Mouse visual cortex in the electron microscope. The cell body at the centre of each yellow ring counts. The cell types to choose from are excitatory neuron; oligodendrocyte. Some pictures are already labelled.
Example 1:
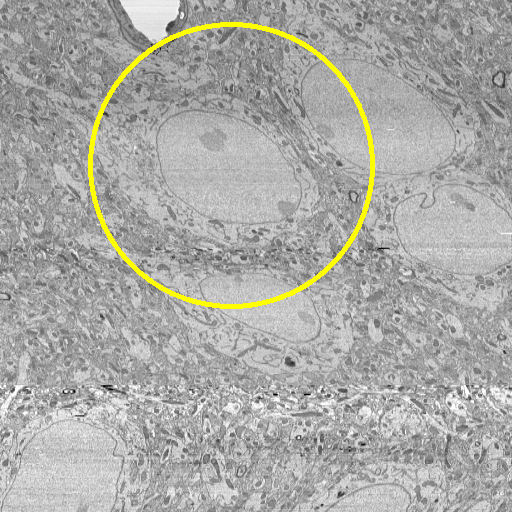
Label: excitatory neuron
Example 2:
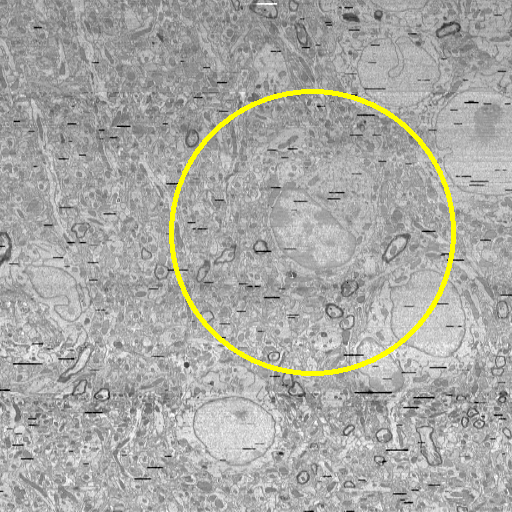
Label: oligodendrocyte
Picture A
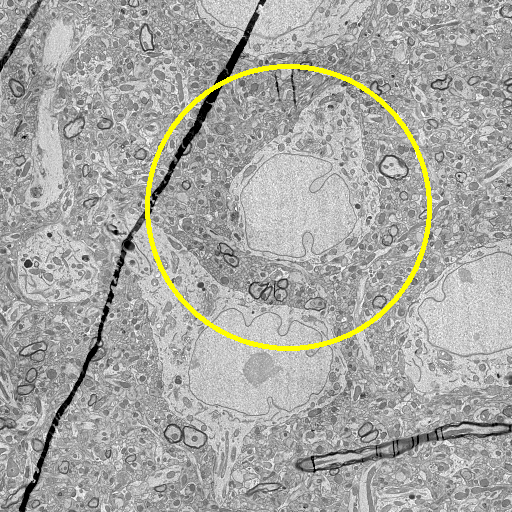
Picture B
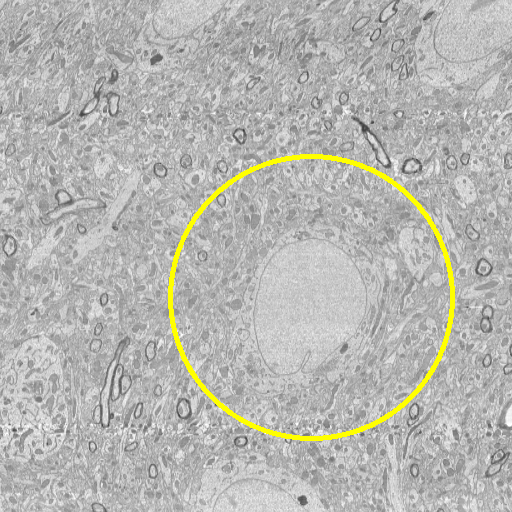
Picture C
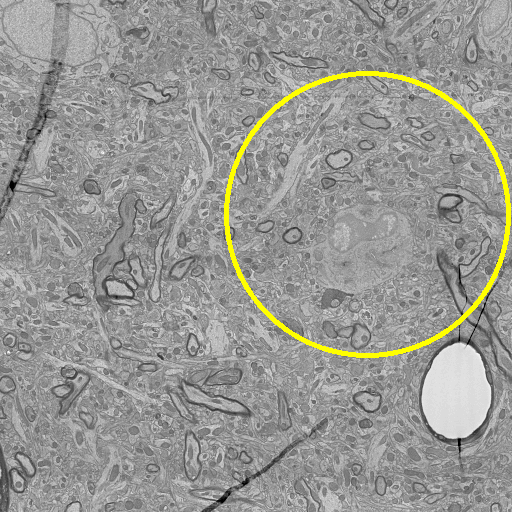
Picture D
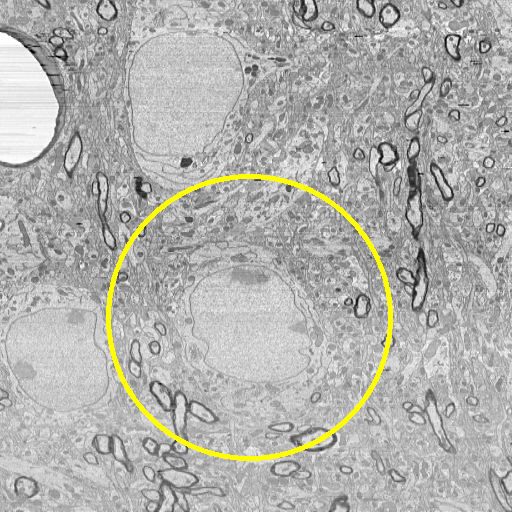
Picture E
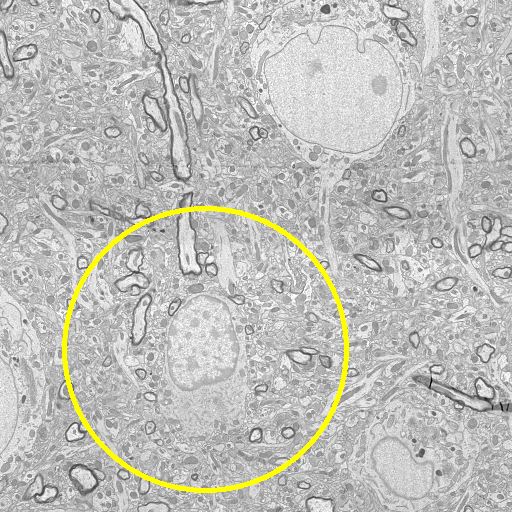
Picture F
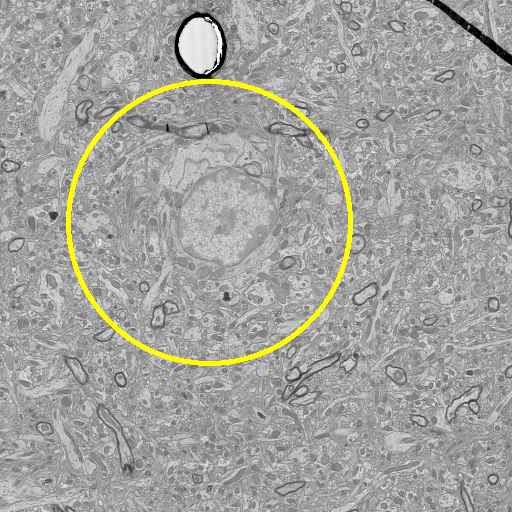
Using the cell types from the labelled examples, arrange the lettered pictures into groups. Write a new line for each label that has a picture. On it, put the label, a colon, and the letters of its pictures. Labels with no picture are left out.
excitatory neuron: A, B, D
oligodendrocyte: C, E, F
